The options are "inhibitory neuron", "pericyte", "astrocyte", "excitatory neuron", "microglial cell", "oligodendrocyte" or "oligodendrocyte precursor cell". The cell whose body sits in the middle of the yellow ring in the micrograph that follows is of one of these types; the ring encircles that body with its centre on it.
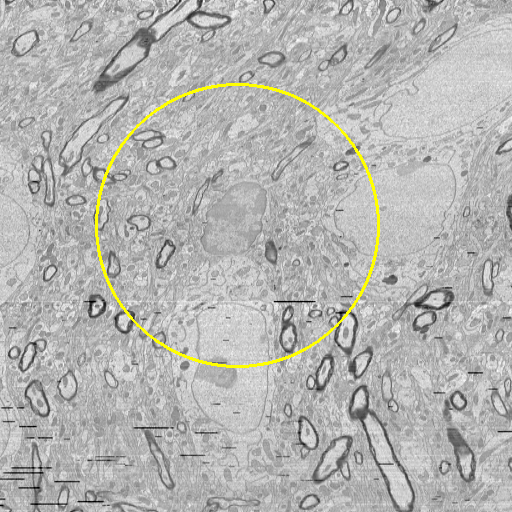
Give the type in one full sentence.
Going by the micrograph, the cell centred in the yellow ring is a microglial cell.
